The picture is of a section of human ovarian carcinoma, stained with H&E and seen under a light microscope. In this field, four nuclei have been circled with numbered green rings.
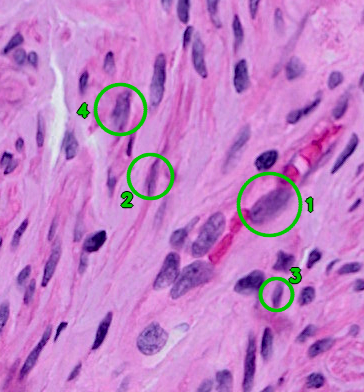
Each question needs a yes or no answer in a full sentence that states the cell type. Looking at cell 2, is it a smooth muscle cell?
Yes, the cell identified by number 2 is a smooth muscle cell.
